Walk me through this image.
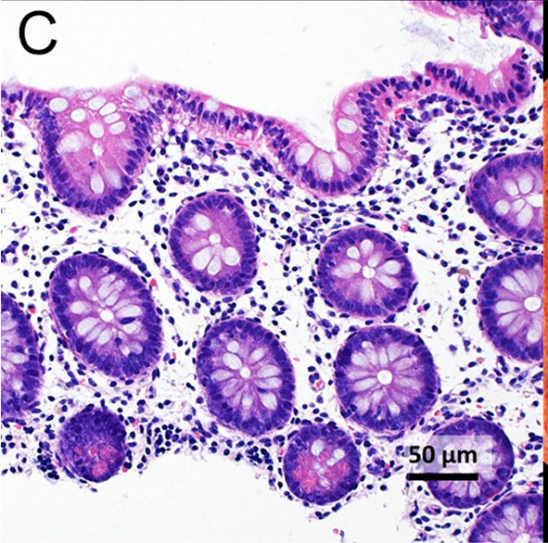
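Colonic mucosa in cross-section, with round crypts cut transversely and a surface lined by a single layer of columnar epithelium. The crypts are lined by epithelial cells with basal purple nuclei and many pale, clear goblet cells arranged around a small central lumen. The lamina propria between the crypts holds a moderate number of small, round, dark-nucleated mononuclear cells, consistent with lymphocytes and plasma cells, in a loose pale pink stroma with a few red blood cells.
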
